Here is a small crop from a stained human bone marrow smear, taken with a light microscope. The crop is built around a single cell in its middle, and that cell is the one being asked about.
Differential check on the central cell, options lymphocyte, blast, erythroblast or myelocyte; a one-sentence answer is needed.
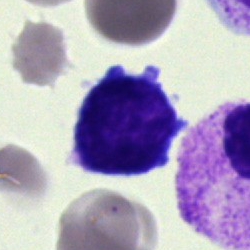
The cell in the exact centre of the crop is a lymphocyte.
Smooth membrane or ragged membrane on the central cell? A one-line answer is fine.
In outline, the cell is irregular, ragged in stretches or drawn into projections.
